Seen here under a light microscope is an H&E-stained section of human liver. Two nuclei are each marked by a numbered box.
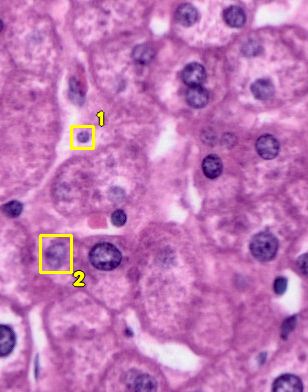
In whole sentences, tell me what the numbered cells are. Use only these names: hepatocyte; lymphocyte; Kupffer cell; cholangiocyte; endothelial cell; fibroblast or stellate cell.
Cell 1 is a lymphocyte. Cell 2 is a hepatocyte.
